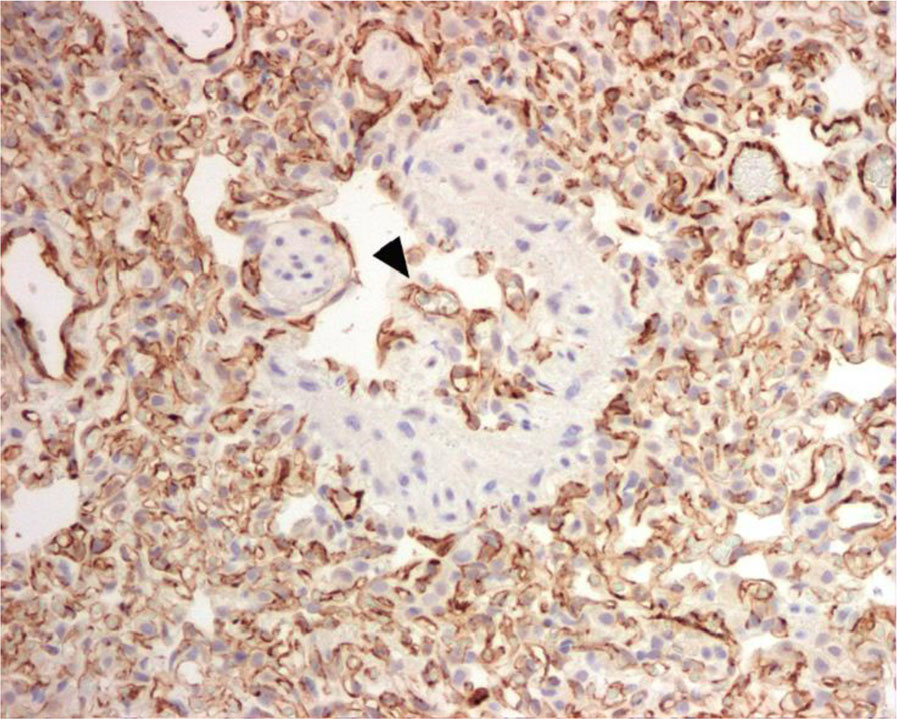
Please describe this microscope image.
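Centrally lies a pale, unstained band of spindle cells with elongated blue nuclei, curving around an open airspace. Brown-lined small channels with flattened cells intrude into and along this band. Surrounding parenchyma is densely packed with brown-outlined, thin-walled capillary profiles, many back to back, thickening the alveolar septa and leaving only small residual airspaces. Nuclei throughout are oval and blue.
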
